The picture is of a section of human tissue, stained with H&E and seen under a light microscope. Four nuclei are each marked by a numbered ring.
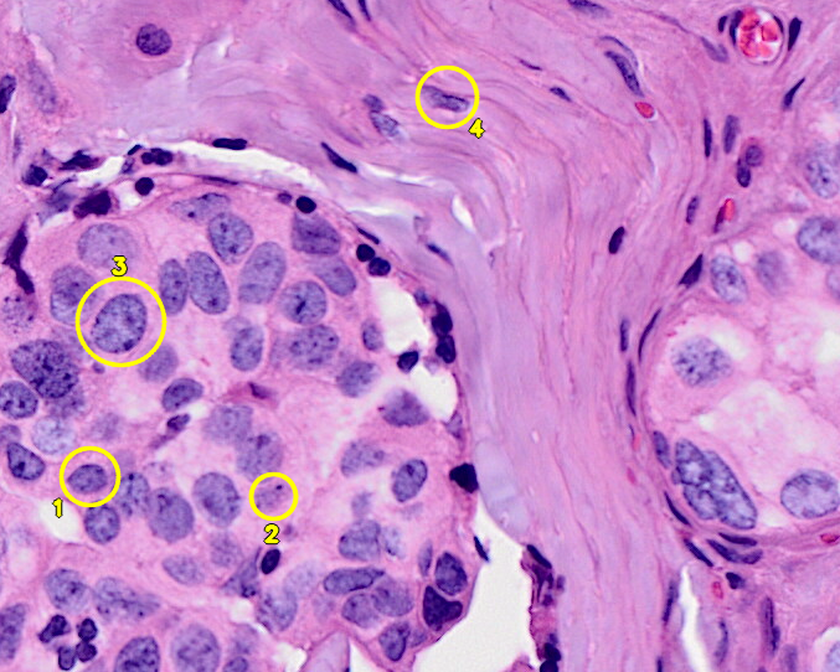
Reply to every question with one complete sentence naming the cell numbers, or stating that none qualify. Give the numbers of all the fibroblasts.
Cell 4 alone, of all the numbered cells, is a fibroblast.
